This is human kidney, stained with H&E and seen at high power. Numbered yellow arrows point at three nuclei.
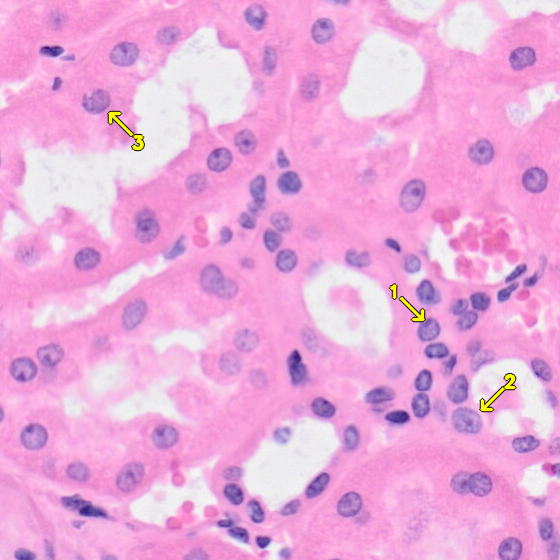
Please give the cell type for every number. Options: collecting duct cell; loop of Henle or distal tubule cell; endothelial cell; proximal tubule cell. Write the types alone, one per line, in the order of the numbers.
collecting duct cell
collecting duct cell
proximal tubule cell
